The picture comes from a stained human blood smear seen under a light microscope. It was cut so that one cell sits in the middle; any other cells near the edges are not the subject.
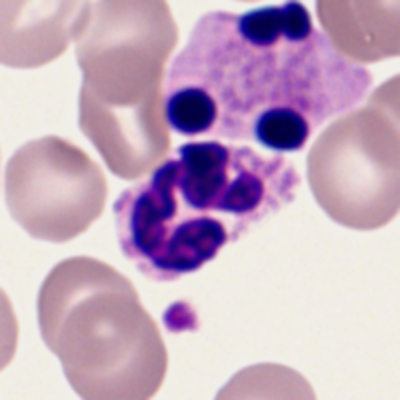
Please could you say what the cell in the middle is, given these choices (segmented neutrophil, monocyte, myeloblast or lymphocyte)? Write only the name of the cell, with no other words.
segmented neutrophil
